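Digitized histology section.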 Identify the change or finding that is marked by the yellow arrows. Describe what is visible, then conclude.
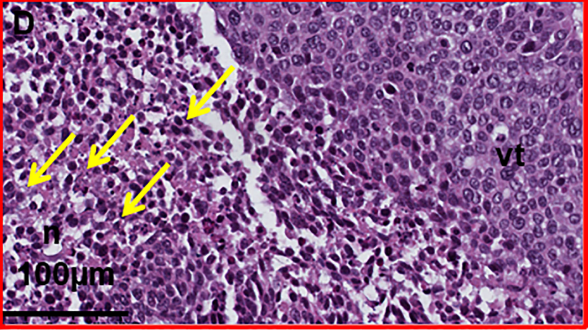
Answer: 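The arrows point to small, dark, condensed and fragmented nuclear bodies. These fragments lie loosely scattered, unlike the cohesive cells on the right.
Answer: Apoptotic cell debris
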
